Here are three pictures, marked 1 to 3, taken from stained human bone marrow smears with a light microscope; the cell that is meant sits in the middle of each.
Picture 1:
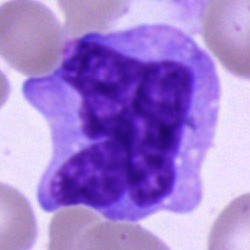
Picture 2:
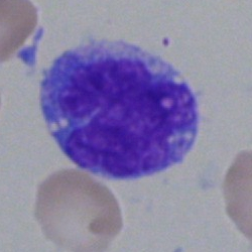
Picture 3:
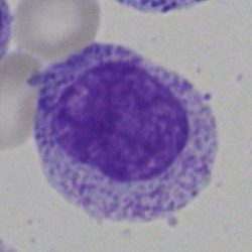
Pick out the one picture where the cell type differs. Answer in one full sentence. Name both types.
The different one is picture 3; it shows a myelocyte, whereas all the others show monocytes.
